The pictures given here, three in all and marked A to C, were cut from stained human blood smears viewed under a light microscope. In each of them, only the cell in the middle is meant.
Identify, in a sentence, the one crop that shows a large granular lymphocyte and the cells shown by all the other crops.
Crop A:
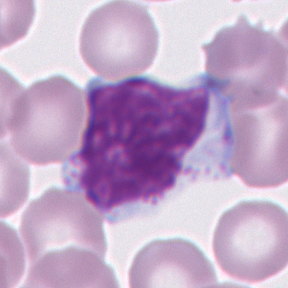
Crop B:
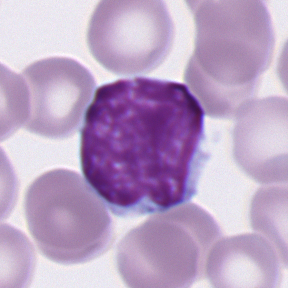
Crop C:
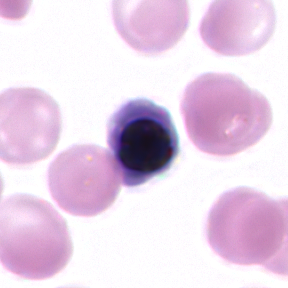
For crop A the cell is a large granular lymphocyte, while crop B is a typical lymphocyte and crop C is a normoblast.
